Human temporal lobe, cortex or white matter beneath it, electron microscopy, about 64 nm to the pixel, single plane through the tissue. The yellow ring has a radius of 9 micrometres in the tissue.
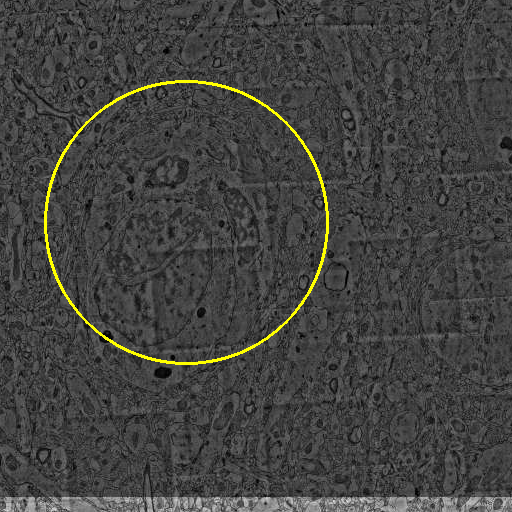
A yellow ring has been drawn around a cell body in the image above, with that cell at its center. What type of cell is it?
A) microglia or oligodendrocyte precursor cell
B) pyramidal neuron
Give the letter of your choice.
A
